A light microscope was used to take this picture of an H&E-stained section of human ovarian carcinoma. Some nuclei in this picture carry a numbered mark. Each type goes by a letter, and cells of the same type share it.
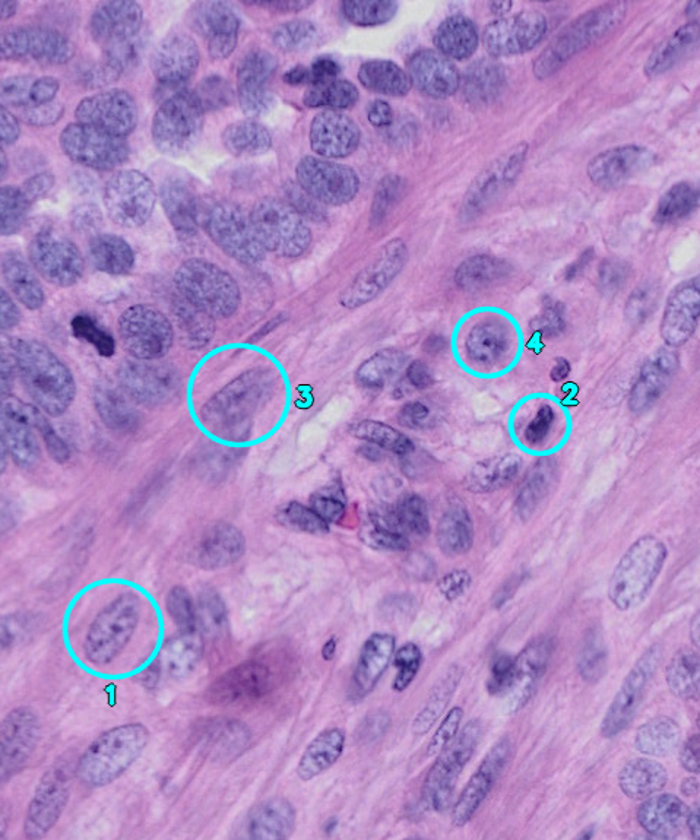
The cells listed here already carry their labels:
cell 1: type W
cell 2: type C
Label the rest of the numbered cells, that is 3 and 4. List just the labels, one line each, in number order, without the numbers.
type W
type W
